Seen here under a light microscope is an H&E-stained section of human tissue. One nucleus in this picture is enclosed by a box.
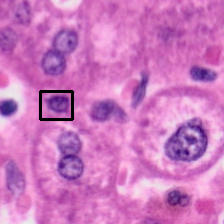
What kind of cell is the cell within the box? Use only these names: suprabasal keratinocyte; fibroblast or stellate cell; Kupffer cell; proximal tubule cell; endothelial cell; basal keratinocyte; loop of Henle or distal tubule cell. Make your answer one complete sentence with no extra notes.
In this section of tissue, the cell within the box is a fibroblast or stellate cell.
